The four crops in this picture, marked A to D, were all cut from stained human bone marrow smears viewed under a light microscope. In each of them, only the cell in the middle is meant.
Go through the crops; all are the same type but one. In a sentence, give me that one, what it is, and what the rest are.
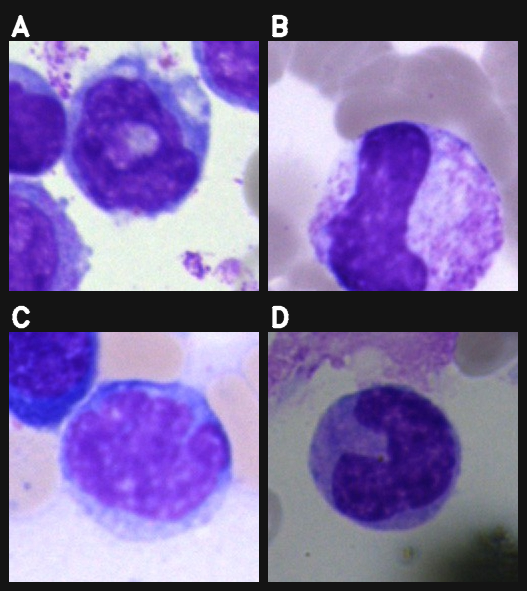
Crop B contains a band neutrophil, setting it apart from the other crops, which all contain monocytes.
